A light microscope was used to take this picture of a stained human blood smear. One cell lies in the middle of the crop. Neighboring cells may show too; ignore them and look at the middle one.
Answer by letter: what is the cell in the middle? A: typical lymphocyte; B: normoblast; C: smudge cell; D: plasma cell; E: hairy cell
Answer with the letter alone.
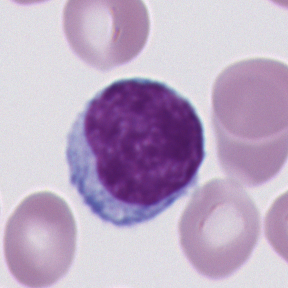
A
